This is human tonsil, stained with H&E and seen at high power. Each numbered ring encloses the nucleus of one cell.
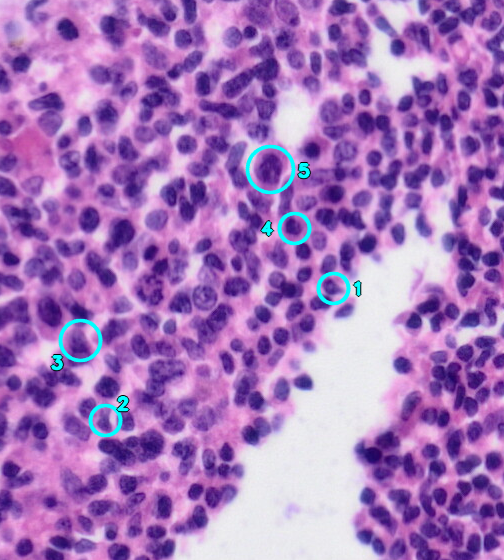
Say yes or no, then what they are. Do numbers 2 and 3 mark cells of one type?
Yes, both are proliferating B cells.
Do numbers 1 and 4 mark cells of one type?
No, cell 1 is a small lymphocyte and cell 4 is a plasma cell.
